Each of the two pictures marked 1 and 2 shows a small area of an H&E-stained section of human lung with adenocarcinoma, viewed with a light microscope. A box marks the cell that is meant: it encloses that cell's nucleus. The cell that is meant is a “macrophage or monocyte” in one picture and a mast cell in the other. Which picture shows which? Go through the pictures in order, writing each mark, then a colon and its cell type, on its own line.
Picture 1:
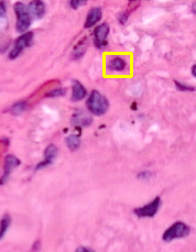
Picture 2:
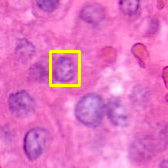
1: mast cell
2: macrophage or monocyte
